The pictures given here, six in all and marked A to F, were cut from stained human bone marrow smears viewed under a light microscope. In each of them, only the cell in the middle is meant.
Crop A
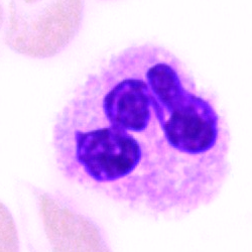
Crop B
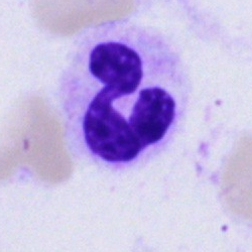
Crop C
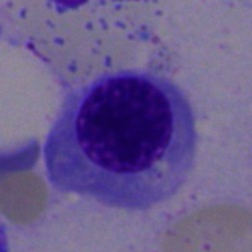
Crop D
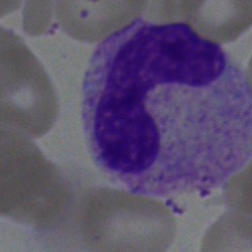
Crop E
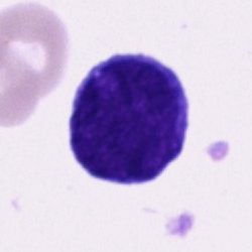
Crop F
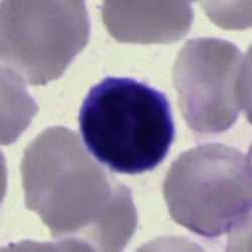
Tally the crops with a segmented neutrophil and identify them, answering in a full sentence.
The two crops showing segmented neutrophils are A and B.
